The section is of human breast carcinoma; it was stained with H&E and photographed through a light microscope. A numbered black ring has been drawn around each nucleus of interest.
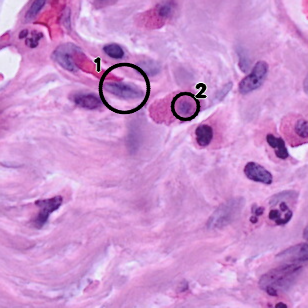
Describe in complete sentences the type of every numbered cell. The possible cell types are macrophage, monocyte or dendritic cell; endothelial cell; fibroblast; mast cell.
Cell 1 is an endothelial cell and cell 2 is a mast cell.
